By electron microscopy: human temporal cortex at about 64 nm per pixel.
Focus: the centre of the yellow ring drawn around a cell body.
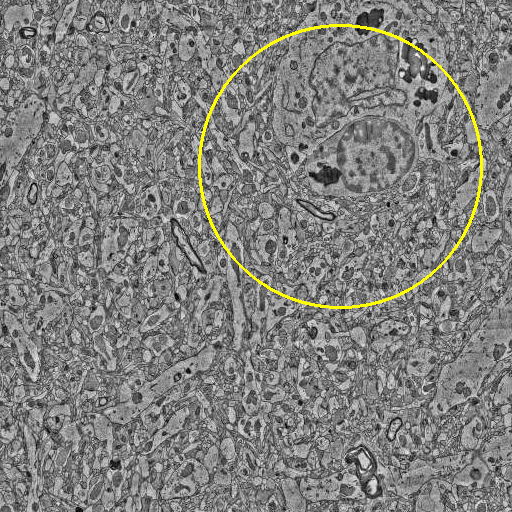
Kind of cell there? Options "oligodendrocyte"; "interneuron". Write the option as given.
oligodendrocyte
